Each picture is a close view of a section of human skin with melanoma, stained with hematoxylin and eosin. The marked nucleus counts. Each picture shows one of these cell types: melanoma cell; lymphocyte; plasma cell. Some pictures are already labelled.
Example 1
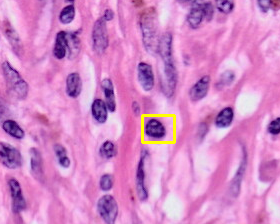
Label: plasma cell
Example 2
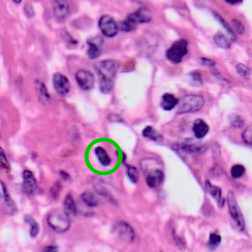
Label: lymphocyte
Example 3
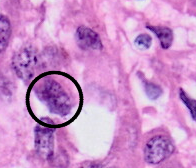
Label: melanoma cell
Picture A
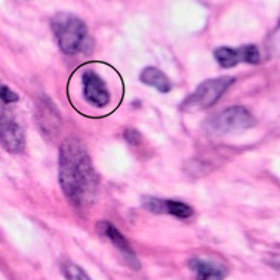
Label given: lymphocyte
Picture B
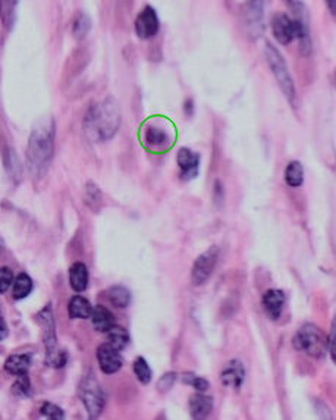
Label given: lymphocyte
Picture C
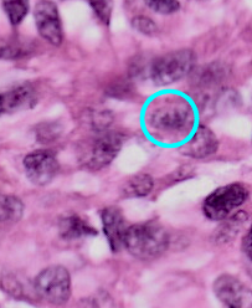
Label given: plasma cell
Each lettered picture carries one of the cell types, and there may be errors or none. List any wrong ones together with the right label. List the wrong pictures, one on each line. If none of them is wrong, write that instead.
B should be plasma cell, not lymphocyte
C should be melanoma cell, not plasma cell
